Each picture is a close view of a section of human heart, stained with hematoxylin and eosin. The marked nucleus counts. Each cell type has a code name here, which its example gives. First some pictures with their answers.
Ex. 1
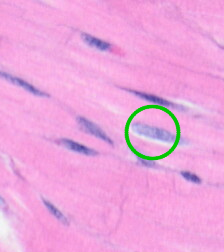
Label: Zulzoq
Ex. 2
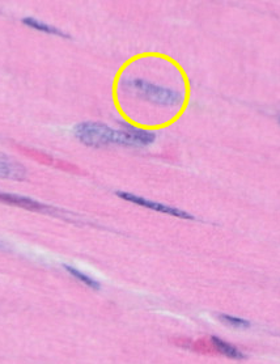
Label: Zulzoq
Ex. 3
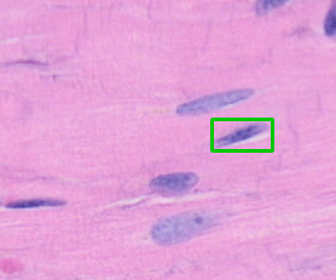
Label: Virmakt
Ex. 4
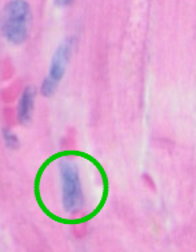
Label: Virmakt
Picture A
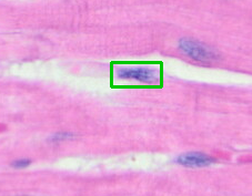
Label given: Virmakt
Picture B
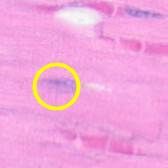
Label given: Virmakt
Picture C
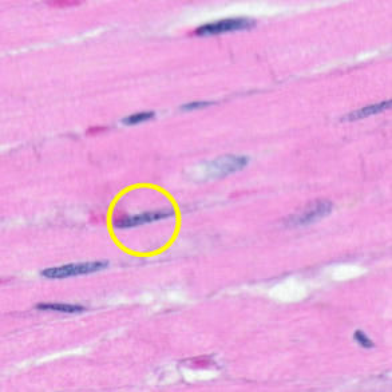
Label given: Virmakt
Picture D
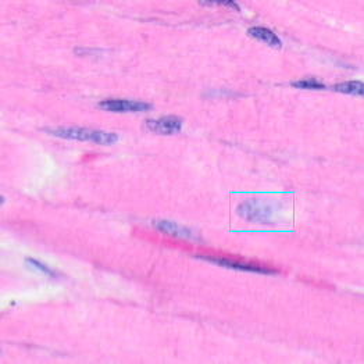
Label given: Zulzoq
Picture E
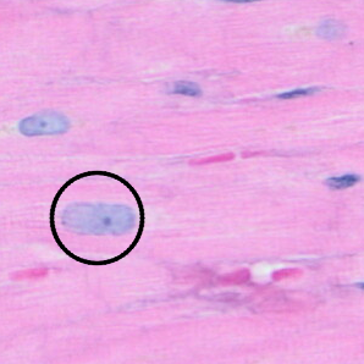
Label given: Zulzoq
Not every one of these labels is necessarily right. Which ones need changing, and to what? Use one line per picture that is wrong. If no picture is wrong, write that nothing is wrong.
B: change Virmakt to Zulzoq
